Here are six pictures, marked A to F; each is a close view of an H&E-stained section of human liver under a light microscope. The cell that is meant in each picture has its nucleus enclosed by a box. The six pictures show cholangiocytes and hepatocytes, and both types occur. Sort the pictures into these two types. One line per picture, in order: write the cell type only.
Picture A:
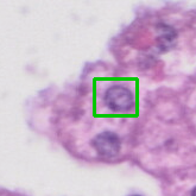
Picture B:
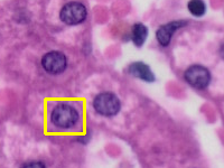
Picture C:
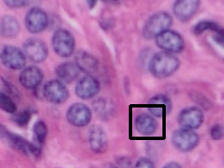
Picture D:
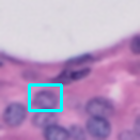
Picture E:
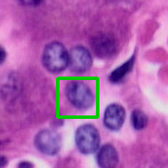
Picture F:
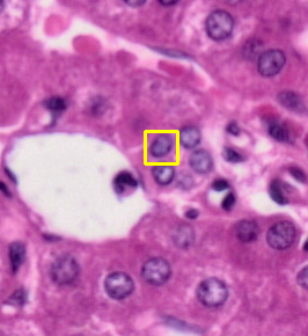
hepatocyte
hepatocyte
cholangiocyte
cholangiocyte
cholangiocyte
cholangiocyte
